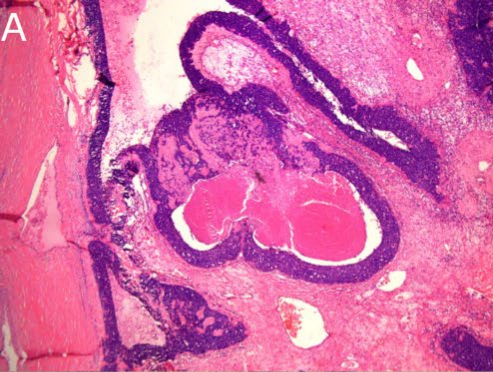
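This is a tumor made of basaloid cells forming cysts and nests within a pale pink fibrous stroma. One large cyst contains pink, structureless material in its centre, in keeping with central necrosis, while other tumor cells form solid and sieve-like nests nearby.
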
